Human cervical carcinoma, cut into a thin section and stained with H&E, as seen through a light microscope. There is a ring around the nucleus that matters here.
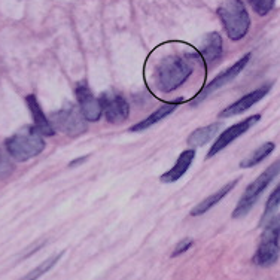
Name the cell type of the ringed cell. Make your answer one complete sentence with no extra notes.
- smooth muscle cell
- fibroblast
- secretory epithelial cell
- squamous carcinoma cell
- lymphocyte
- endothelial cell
Considered by cell type, the ringed cell is a secretory epithelial cell.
